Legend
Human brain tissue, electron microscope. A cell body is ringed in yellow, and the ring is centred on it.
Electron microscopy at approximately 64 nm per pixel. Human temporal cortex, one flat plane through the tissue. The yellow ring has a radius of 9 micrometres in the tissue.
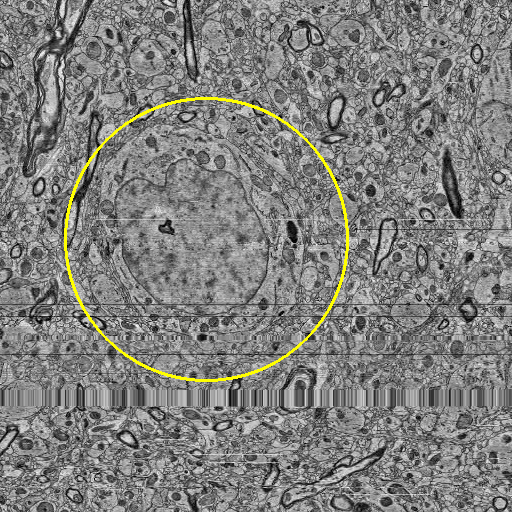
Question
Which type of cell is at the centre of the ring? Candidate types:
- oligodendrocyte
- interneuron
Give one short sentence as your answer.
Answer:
The yellow ring is centred here on an interneuron.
